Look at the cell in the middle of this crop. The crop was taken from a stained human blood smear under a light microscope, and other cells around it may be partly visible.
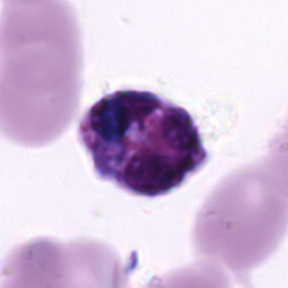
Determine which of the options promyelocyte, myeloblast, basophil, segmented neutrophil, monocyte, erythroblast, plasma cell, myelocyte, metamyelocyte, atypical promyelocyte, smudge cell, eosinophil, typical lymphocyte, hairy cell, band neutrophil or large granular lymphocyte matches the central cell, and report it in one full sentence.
Occupying the centre of the crop is an eosinophil.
